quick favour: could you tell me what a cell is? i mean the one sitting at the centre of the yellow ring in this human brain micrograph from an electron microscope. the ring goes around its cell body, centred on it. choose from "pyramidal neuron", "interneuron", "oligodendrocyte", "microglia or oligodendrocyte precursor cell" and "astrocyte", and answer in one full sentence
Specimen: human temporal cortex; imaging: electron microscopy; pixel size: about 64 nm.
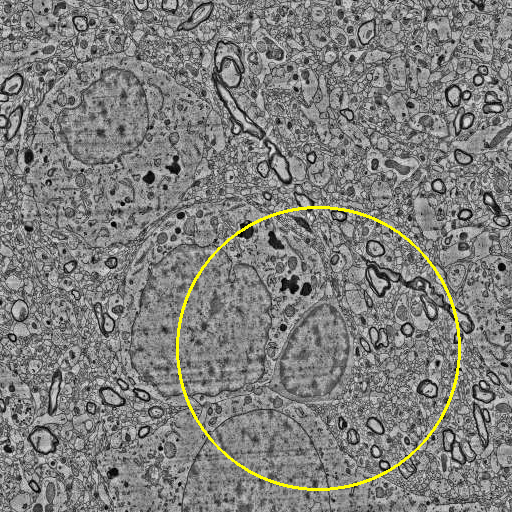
That's an oligodendrocyte, the cell sitting at the centre of the yellow ring.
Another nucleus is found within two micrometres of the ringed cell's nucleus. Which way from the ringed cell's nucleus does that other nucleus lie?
The other nucleus lies to the left of it in the picture.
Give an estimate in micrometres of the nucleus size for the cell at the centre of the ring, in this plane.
In this plane, roughly 6 by 4 micrometres.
